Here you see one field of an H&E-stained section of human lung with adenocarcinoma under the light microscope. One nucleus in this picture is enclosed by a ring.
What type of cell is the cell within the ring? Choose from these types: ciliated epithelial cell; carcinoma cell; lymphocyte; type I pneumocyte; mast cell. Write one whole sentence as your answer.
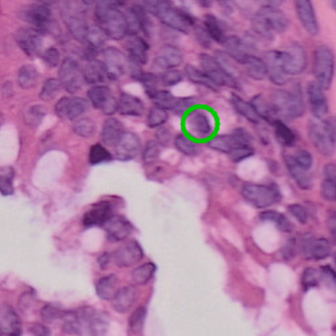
In this section, the cell within the ring is a ciliated epithelial cell.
